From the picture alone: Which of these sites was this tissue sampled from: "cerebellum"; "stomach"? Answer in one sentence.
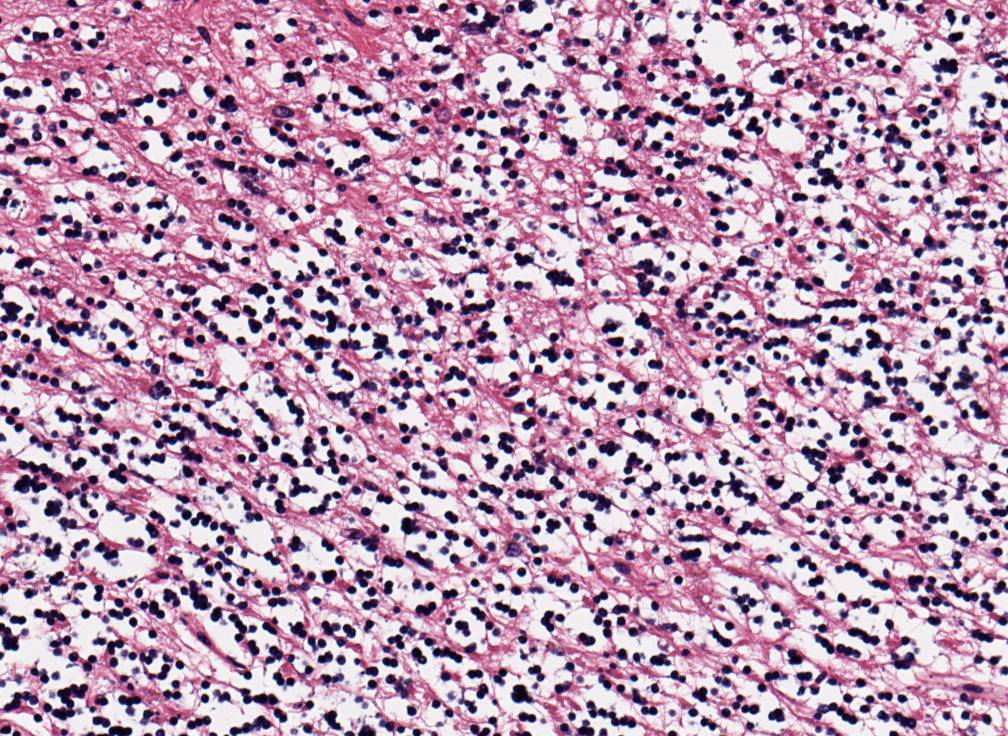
The site this tissue was sampled from is the cerebellum.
